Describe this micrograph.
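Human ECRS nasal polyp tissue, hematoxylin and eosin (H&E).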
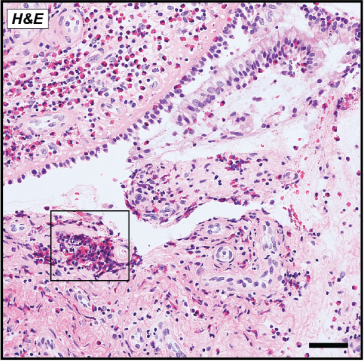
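Beneath the epithelium the stroma is loose and pale pink, with wavy fibres and wide clear gaps suggesting swelling. Many small round cells with dark purple nuclei are scattered through the stroma, several of them with bright red-pink granular cytoplasm. Small vessels with thin walls lie in the stroma, and at lower left a dense cluster of cells with strongly pink cytoplasm is boxed.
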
